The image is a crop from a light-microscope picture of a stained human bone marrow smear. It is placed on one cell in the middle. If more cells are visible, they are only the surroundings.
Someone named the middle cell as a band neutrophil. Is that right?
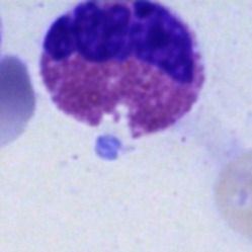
no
